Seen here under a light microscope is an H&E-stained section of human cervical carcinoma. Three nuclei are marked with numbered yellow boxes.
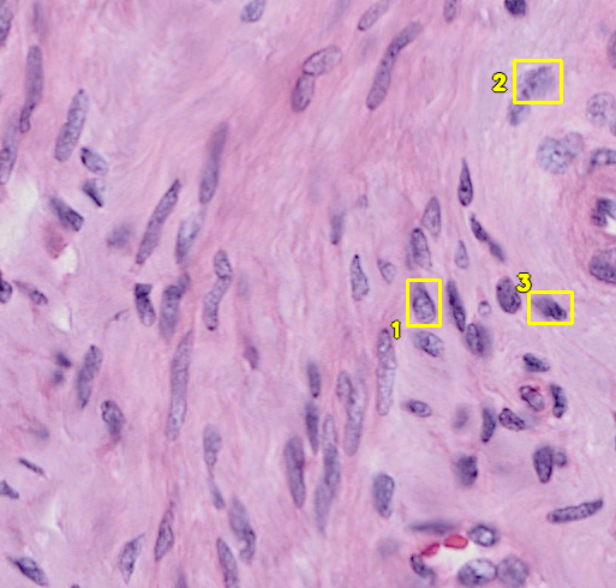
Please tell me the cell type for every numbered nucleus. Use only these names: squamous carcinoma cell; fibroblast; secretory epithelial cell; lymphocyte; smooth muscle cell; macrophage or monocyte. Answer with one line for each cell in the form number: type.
1: smooth muscle cell
2: fibroblast
3: fibroblast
